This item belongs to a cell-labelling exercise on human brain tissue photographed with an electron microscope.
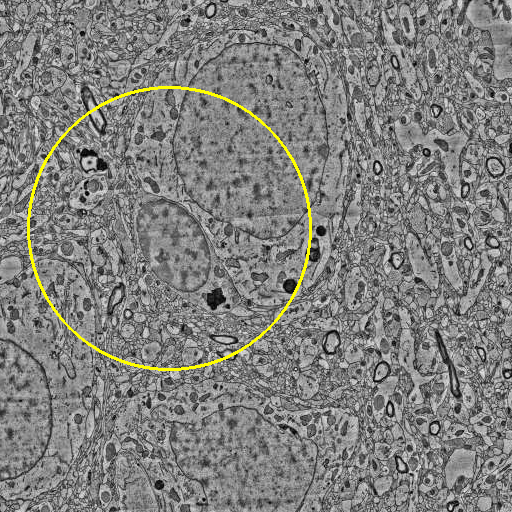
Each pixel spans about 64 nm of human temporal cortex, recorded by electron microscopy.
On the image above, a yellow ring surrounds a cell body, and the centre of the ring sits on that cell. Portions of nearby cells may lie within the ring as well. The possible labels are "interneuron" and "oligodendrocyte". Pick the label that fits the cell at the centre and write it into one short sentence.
This cell should be labelled as an oligodendrocyte.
